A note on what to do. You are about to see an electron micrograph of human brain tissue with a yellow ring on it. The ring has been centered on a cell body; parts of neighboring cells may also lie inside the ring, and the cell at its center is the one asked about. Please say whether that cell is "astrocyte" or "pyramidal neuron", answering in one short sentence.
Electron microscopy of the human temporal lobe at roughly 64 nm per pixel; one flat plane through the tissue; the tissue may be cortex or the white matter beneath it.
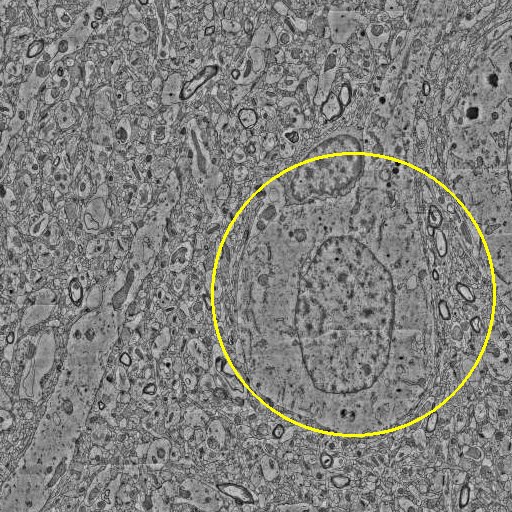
The yellow ring sits on a pyramidal neuron.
